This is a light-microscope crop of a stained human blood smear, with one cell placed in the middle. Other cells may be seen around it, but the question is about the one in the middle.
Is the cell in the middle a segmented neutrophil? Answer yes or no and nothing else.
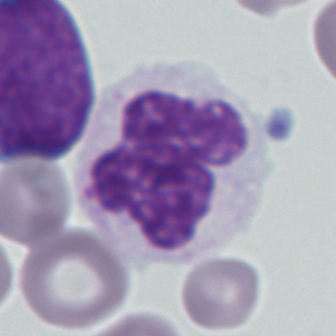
yes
